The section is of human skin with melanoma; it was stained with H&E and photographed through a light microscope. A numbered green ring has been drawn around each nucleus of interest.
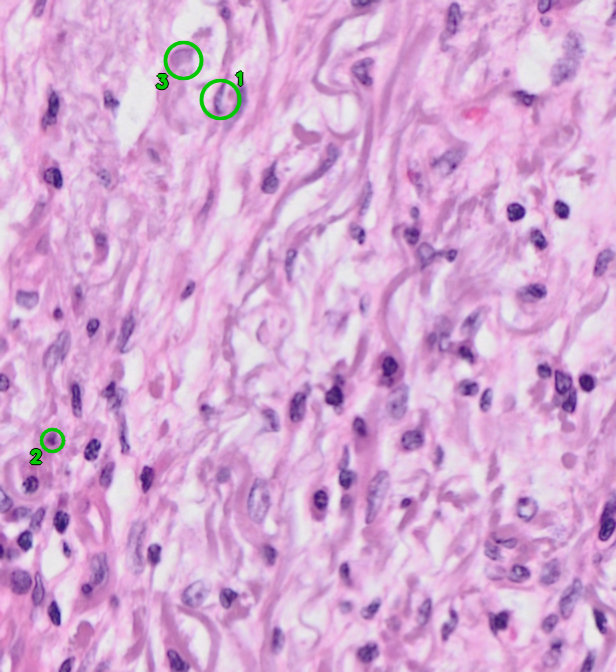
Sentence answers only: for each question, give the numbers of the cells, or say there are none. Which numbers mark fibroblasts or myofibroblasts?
The cells carrying the numbers 1 and 3 are fibroblasts or myofibroblasts.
